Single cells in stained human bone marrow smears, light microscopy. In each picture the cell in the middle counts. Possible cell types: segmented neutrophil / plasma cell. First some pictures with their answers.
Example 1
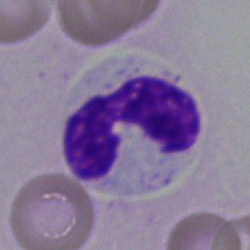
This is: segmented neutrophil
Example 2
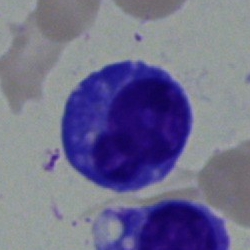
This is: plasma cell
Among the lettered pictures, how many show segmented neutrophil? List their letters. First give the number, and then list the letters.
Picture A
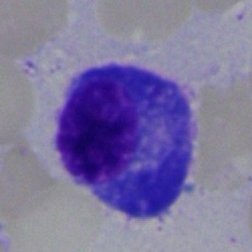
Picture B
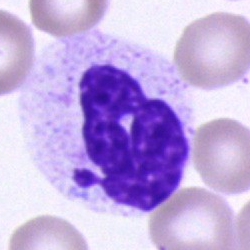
Count: 1 (B)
